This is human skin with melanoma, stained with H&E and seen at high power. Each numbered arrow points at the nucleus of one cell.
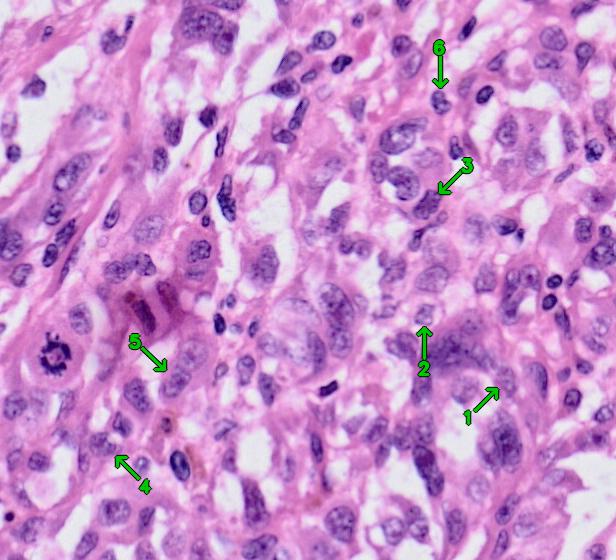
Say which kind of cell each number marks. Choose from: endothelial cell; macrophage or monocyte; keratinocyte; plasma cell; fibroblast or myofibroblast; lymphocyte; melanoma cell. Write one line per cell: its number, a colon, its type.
1: melanoma cell
2: macrophage or monocyte
3: melanoma cell
4: melanoma cell
5: melanoma cell
6: lymphocyte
